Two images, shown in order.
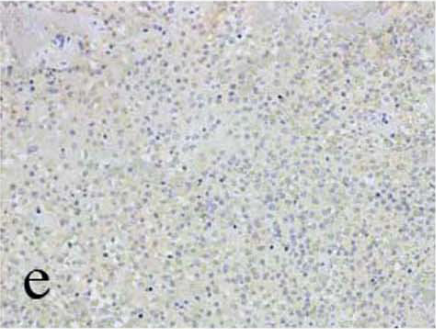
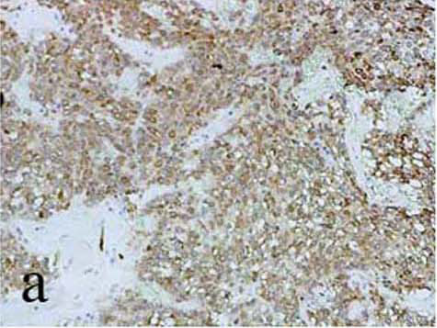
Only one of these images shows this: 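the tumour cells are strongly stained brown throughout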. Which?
The second image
